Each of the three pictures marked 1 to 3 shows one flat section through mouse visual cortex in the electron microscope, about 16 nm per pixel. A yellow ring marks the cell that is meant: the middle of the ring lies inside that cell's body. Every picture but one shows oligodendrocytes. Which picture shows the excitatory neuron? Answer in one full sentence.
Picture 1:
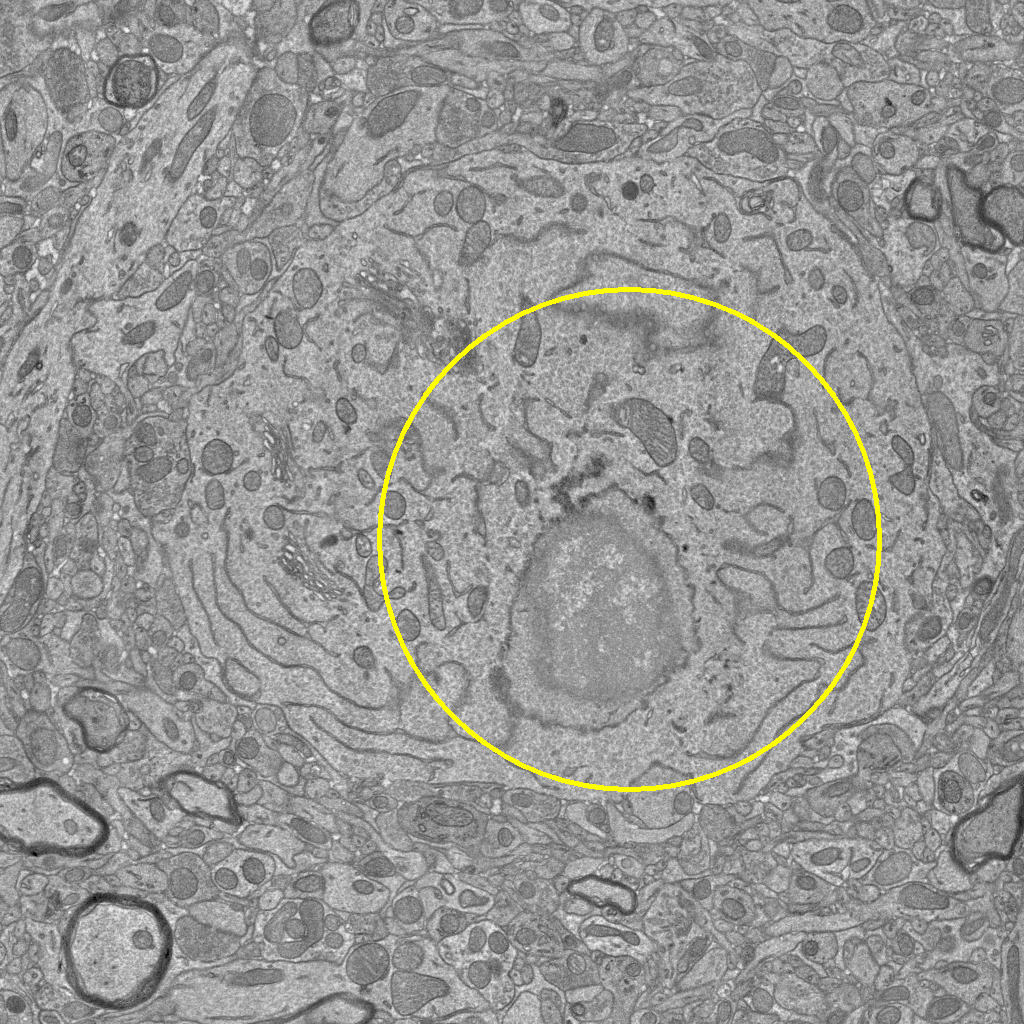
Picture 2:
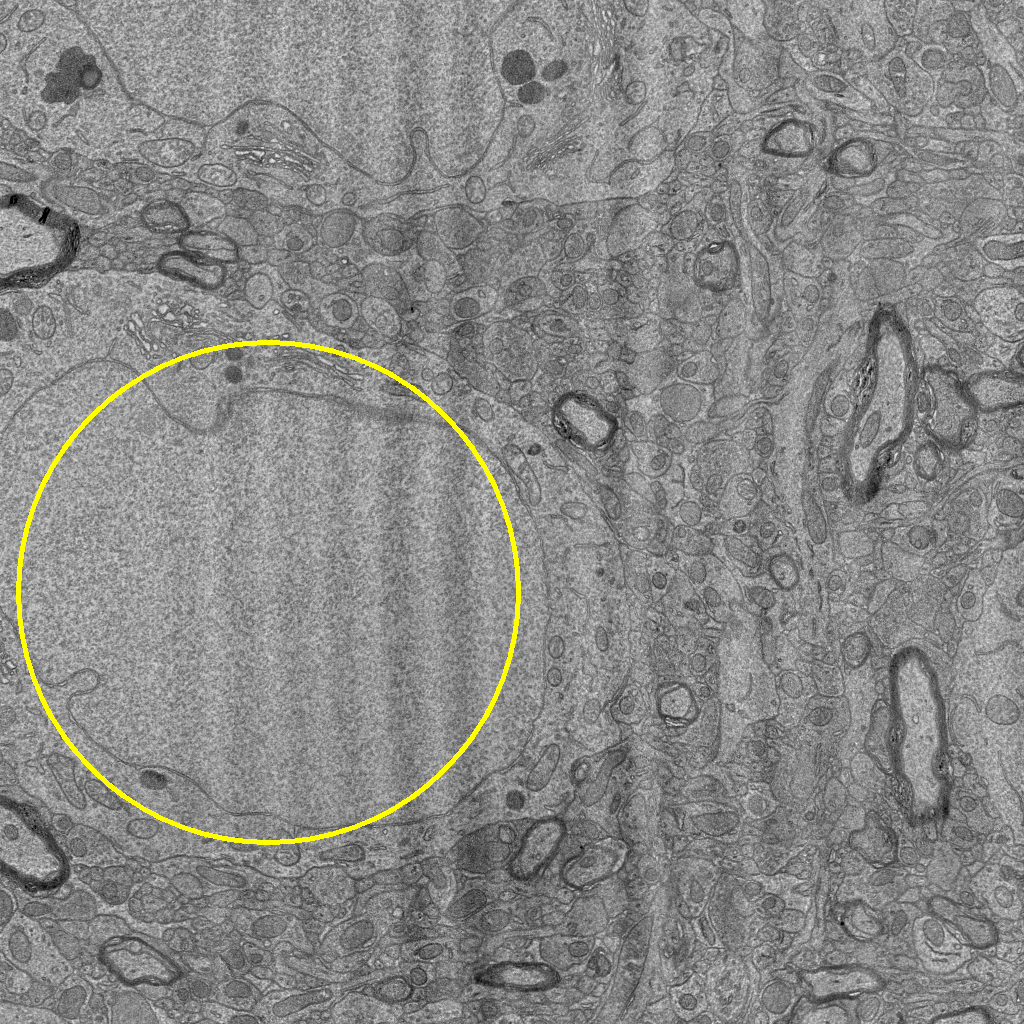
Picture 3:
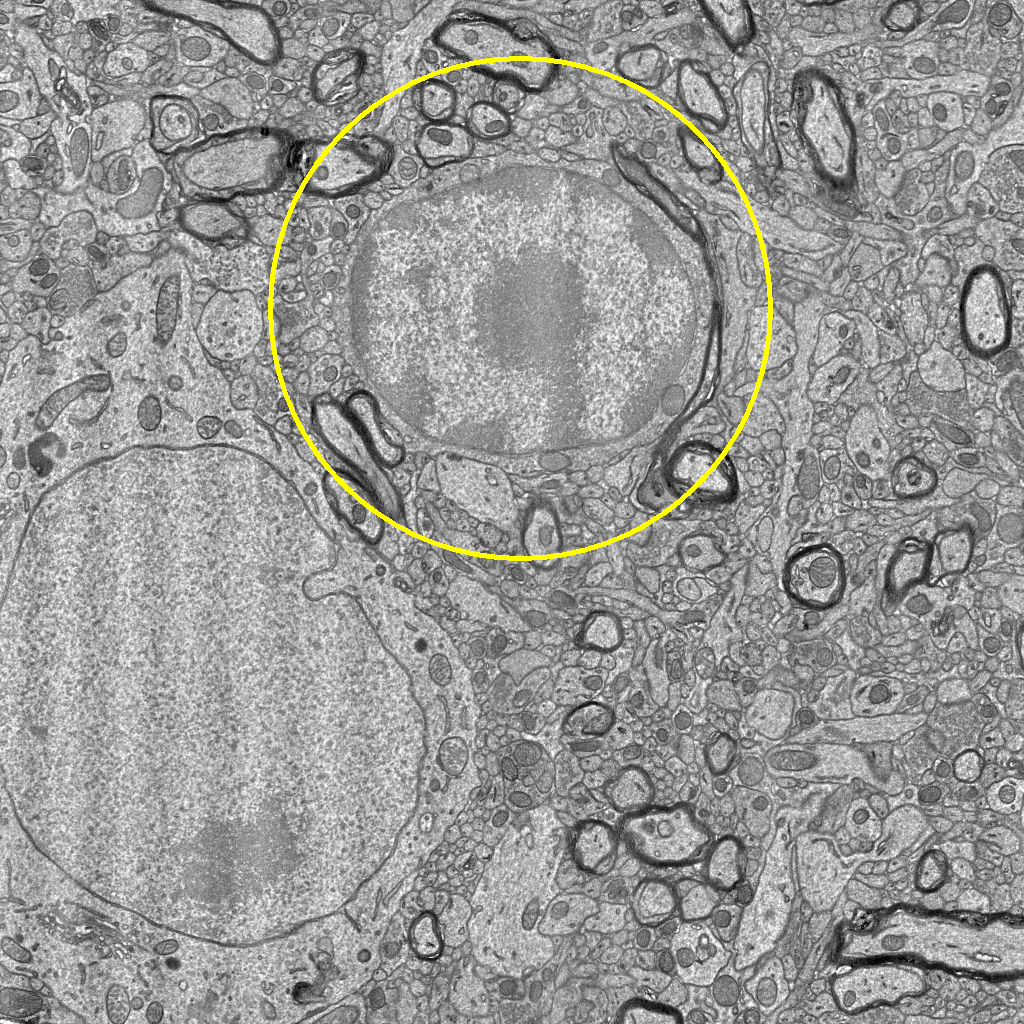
The cell in picture 2 is the excitatory neuron.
